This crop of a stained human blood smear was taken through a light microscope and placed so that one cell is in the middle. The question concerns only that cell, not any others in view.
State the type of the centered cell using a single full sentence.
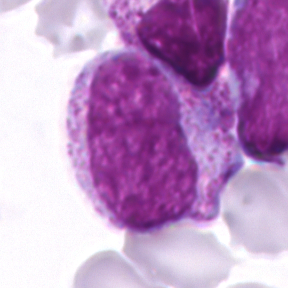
Here the cell in the middle is a myelocyte.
